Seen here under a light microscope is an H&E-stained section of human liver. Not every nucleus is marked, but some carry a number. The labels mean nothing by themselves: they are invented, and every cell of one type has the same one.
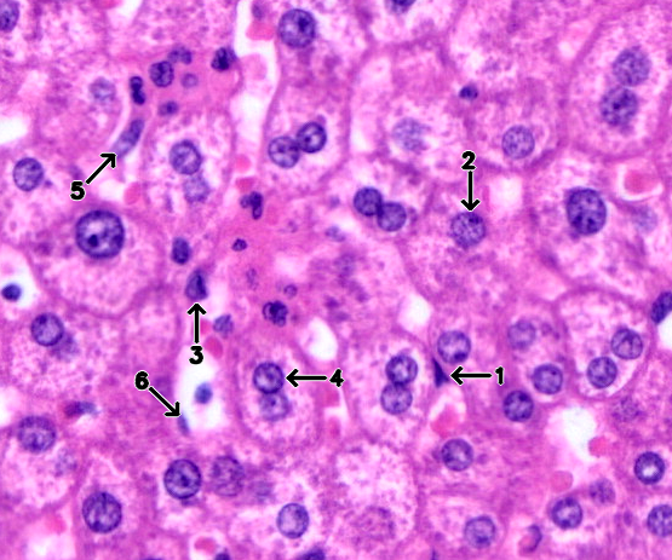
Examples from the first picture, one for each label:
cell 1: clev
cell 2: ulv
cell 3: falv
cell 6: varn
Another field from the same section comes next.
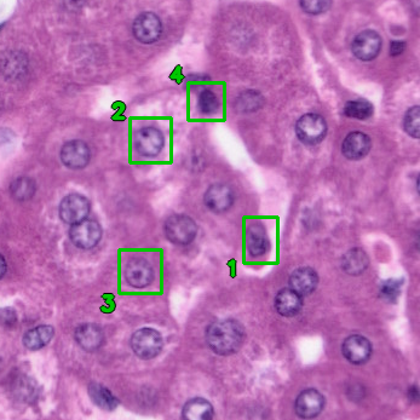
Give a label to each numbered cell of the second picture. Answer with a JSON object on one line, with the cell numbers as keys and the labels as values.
{"1": "falv", "2": "ulv", "3": "ulv", "4": "clev"}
